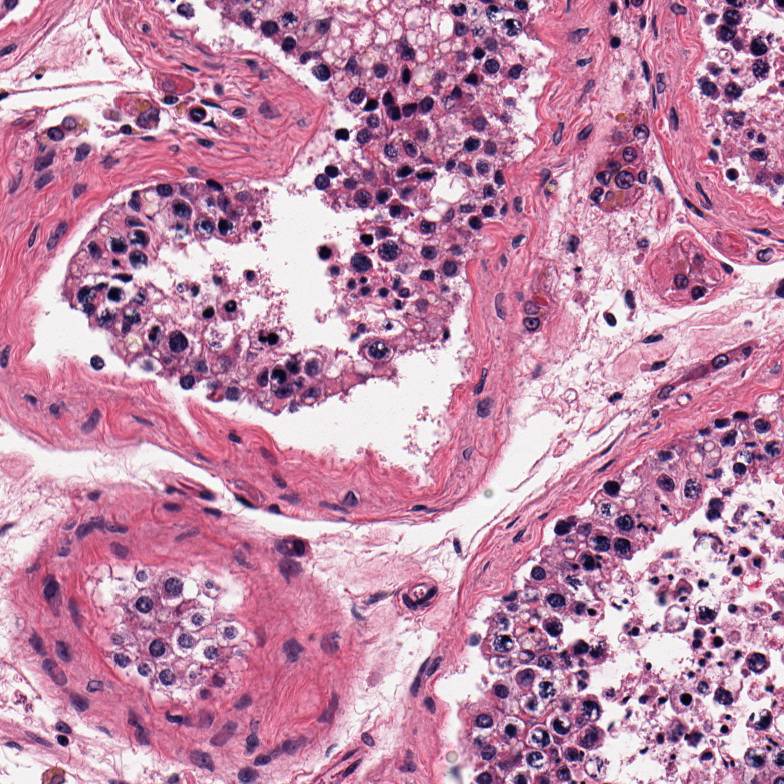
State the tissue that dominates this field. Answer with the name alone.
seminiferous tubule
